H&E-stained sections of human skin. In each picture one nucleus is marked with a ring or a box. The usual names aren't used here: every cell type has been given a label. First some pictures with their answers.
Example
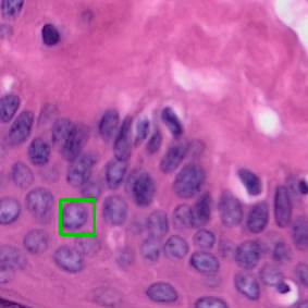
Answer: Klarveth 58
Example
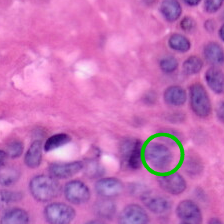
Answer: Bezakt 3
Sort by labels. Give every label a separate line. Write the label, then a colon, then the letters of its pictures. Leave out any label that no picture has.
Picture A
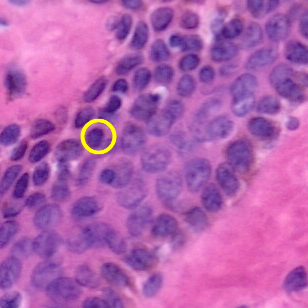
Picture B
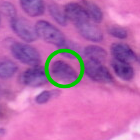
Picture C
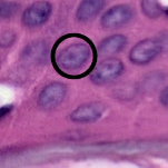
Klarveth 58: C
Bezakt 3: A, B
